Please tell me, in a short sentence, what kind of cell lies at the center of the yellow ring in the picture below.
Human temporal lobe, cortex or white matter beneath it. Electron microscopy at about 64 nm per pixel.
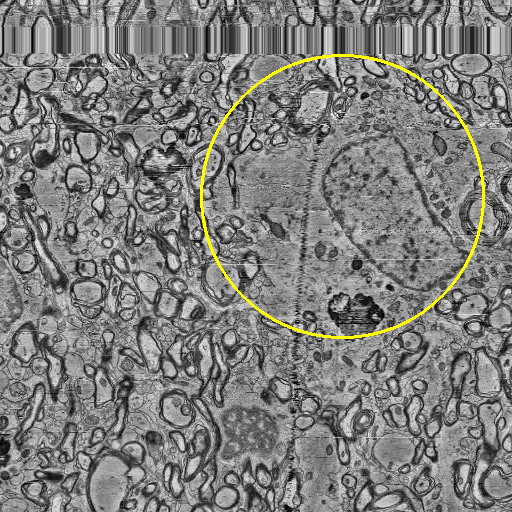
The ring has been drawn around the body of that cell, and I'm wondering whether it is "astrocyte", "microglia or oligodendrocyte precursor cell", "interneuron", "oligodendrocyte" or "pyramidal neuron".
The cell at the center of the ring is an astrocyte.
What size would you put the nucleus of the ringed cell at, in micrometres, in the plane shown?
In this plane the nucleus is clearly longer than it is wide, at approximately 11 by 6 micrometres.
